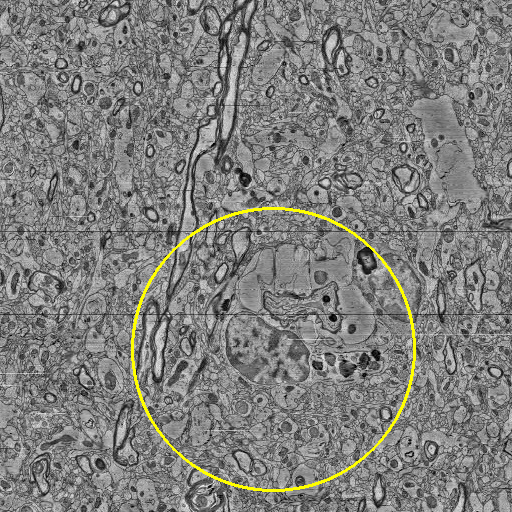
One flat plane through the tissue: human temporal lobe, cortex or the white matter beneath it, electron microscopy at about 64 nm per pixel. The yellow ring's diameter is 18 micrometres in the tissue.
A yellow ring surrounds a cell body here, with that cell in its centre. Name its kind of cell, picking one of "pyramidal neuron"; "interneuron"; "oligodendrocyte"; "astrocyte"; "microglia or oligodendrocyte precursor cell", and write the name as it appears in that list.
microglia or oligodendrocyte precursor cell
